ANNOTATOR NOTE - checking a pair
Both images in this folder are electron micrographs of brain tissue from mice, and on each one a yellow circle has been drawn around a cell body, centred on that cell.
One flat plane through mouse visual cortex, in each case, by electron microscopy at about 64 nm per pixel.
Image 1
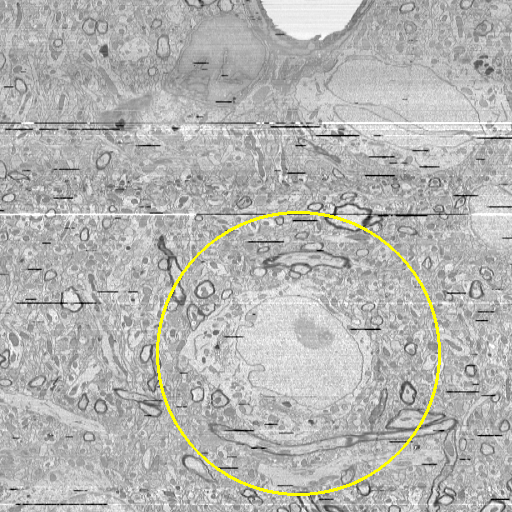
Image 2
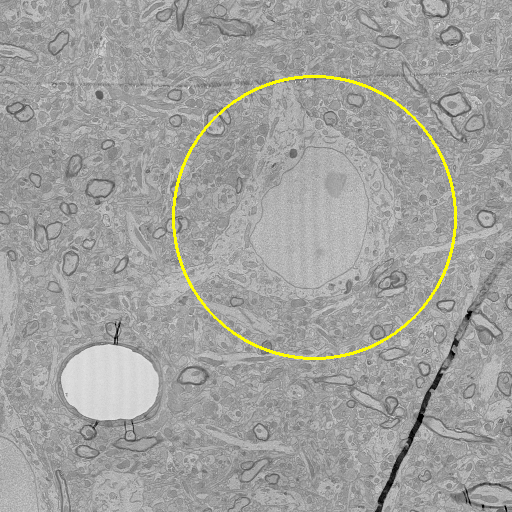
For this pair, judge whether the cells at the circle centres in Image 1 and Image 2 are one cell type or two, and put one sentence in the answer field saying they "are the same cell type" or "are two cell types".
For this pair, the cells at the circle centres in Images 1 and 2 are the same cell type.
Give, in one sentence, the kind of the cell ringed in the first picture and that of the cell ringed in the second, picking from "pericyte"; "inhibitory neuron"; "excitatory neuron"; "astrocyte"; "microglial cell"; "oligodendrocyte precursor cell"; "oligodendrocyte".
Both the first and the second picture show an excitatory neuron in the ring.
